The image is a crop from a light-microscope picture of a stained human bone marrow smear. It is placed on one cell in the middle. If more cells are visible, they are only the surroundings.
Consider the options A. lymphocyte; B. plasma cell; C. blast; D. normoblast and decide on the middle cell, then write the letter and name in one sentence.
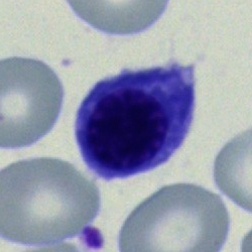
The cell placed in the middle is a normoblast; option D is correct.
